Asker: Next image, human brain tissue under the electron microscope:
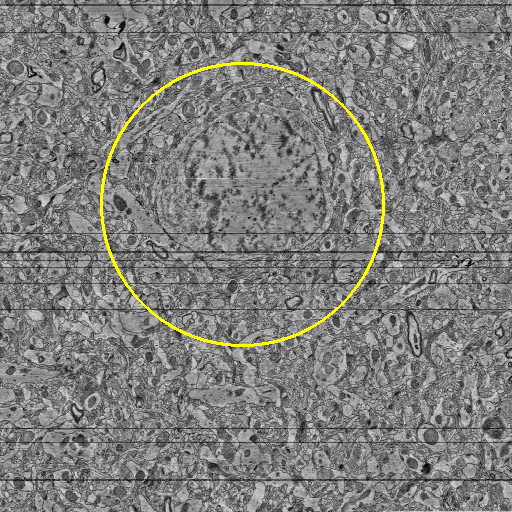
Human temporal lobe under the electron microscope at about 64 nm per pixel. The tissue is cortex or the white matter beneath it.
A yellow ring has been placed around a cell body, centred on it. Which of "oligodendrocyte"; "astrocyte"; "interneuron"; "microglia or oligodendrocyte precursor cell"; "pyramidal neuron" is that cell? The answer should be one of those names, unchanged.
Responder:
interneuron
